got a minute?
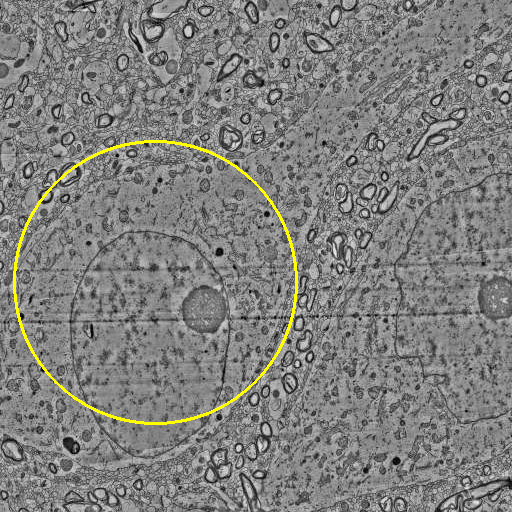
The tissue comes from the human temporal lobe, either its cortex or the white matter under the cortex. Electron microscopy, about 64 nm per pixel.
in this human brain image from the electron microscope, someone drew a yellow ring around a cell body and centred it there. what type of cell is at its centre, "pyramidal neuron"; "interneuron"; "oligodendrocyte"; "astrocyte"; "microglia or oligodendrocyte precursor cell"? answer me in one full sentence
It's a pyramidal neuron at the middle of that yellow ring in the shot.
